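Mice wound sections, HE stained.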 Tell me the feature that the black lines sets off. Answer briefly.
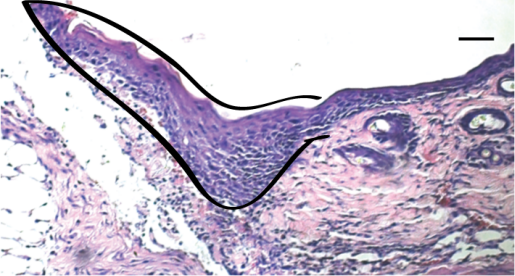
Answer: Epidermal tongue.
